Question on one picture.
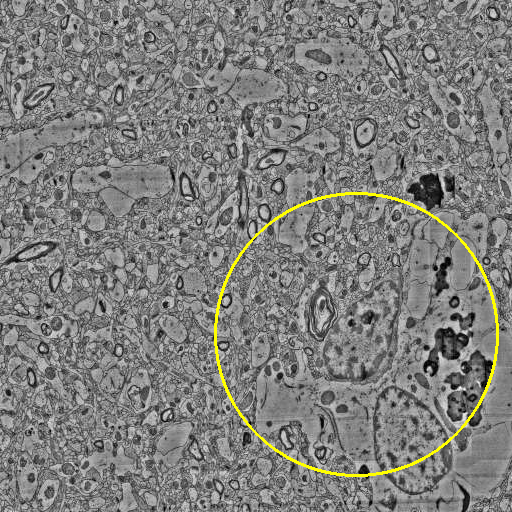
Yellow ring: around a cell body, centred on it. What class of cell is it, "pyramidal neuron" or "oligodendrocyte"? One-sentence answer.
This is an oligodendrocyte, the cell the ring is centred on.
